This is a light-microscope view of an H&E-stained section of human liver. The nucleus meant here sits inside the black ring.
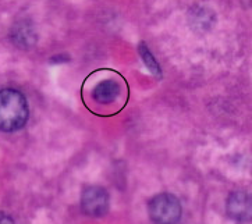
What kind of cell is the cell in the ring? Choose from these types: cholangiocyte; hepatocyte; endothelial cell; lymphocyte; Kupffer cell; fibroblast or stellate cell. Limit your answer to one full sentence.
As classified here, the cell in the ring is a lymphocyte.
